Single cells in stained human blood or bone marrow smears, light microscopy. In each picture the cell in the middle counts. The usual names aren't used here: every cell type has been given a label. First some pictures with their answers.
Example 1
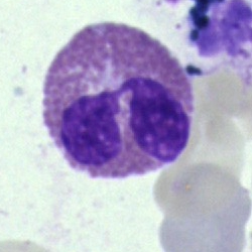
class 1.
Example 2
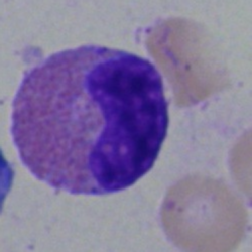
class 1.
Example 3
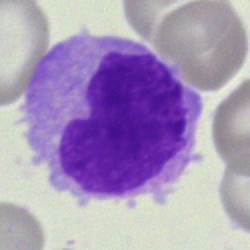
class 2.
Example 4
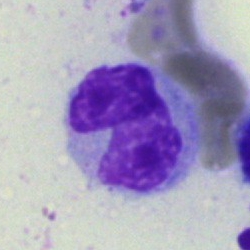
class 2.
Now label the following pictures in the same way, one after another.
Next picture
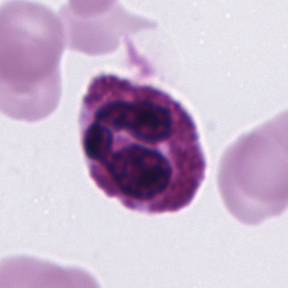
class 1.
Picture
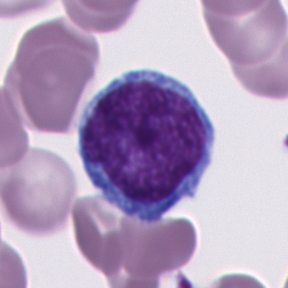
class 2.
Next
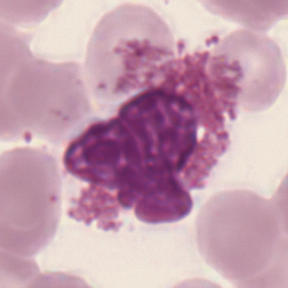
class 1.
